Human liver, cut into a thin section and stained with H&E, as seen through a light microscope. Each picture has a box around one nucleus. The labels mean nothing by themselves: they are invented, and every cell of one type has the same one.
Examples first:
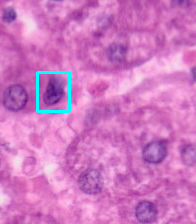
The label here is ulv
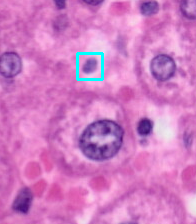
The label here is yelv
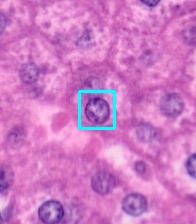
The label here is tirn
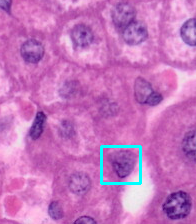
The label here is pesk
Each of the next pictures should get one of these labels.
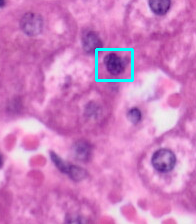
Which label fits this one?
ulv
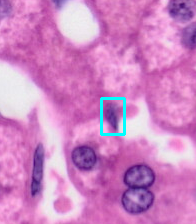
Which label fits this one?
pesk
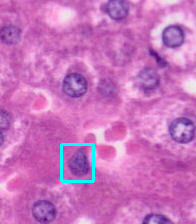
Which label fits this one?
ulv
